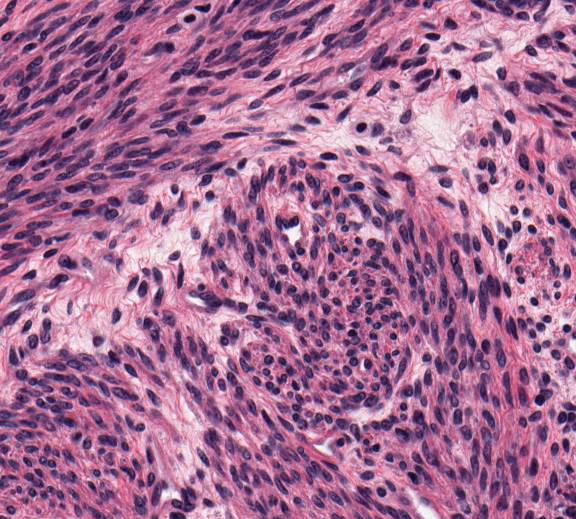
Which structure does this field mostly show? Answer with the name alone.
smooth muscle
